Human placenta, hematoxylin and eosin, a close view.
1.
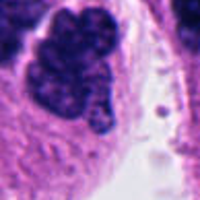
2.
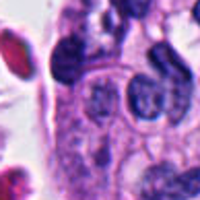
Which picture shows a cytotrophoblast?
Picture 2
